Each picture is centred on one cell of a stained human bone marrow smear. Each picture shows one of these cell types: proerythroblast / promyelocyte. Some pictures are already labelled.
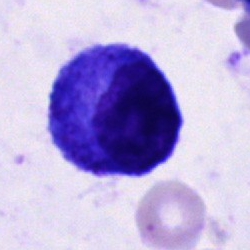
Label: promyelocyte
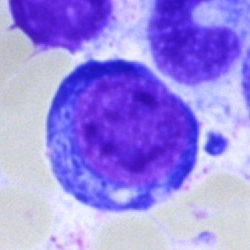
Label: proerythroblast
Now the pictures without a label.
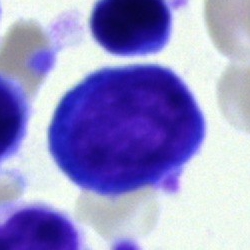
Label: proerythroblast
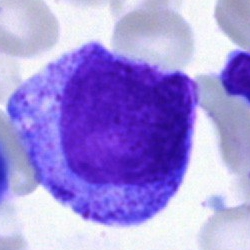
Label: promyelocyte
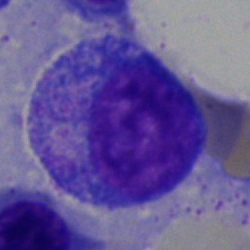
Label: promyelocyte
